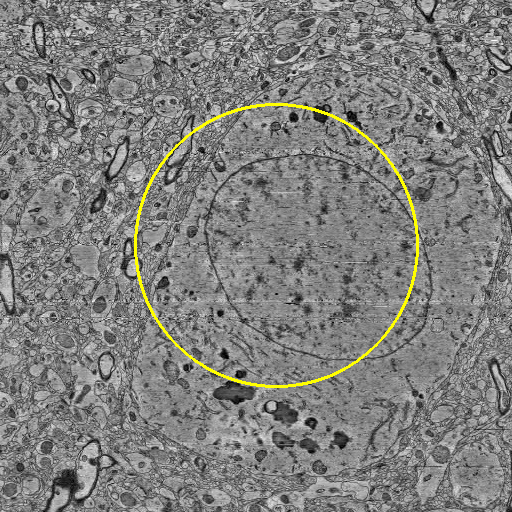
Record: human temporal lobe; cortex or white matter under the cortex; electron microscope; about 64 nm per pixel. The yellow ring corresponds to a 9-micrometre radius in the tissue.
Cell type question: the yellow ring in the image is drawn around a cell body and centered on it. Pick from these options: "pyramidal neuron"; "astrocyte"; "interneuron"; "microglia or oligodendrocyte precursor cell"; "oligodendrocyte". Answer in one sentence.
The ringed cell at the center is a pyramidal neuron.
